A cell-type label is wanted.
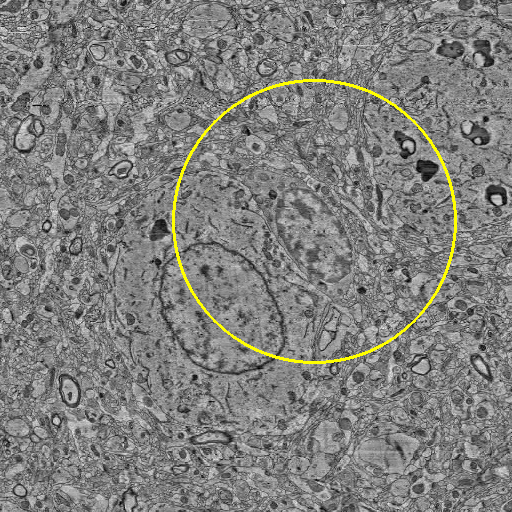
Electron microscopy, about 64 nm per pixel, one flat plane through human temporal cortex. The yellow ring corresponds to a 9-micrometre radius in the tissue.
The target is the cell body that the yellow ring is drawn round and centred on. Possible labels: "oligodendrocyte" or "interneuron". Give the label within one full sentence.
Of the labels offered, the cell in the middle of the yellow ring is an oligodendrocyte.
